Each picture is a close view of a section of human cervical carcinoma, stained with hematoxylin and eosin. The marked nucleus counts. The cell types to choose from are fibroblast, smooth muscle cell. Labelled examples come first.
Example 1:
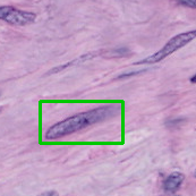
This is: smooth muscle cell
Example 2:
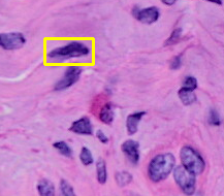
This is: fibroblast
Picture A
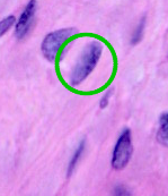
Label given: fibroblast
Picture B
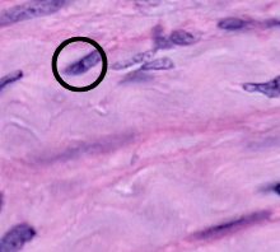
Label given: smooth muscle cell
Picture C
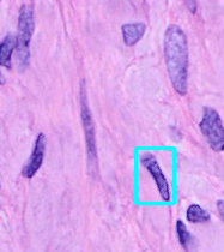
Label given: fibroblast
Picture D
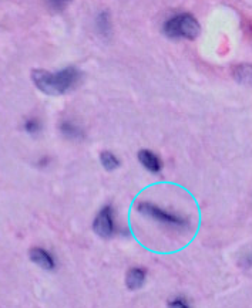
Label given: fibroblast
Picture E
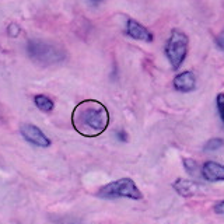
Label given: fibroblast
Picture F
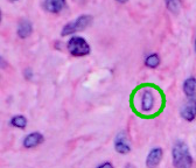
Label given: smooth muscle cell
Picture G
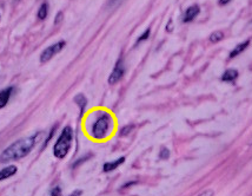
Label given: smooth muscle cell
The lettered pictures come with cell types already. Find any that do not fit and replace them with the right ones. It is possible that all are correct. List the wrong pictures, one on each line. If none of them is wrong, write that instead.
B should be fibroblast, not smooth muscle cell
E should be smooth muscle cell, not fibroblast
